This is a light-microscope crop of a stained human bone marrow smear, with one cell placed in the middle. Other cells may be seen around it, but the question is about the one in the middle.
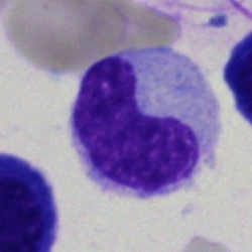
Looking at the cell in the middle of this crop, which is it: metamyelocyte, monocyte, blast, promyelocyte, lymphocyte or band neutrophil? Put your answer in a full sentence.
The cell centred in this crop is categorized as a metamyelocyte.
